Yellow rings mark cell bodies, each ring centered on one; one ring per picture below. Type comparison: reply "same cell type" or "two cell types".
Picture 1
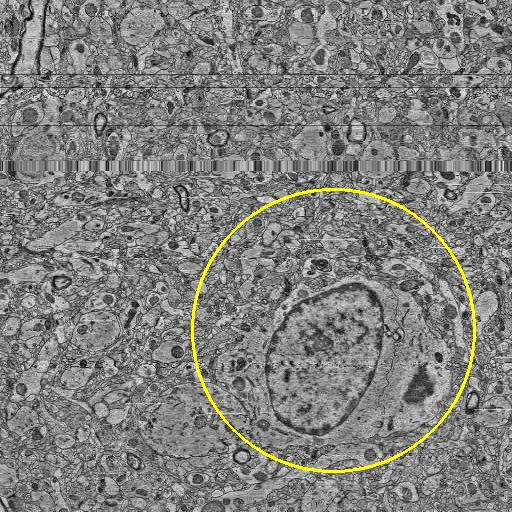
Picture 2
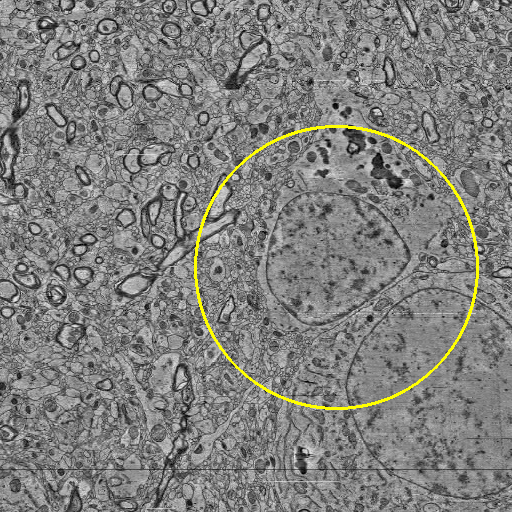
two cell types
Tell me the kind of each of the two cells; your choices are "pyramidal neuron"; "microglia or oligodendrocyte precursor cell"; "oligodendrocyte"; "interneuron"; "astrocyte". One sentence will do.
The ringed cell is a microglial cell or oligodendrocyte precursor cell in the first picture and an astrocyte in the second picture.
